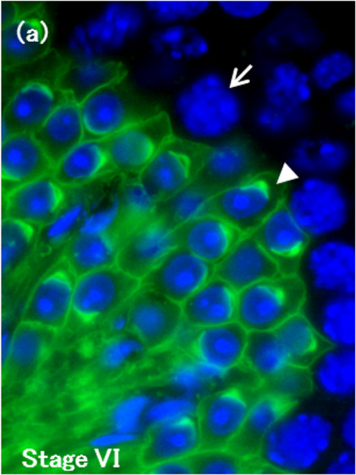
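This is part of a seminiferous tubule with a large group of round spermatids and, at the upper right, larger spermatocytes. The round spermatids are packed closely together, each with a small round nucleus holding a bright central spot, and their cytoplasm and borders are outlined in green. The spermatocytes lie to the upper right and right edge, with larger nuclei of coarse, clumped chromatin and no green around them. At the lower left a few elongated, slender blue nuclei are seen among the round cells.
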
